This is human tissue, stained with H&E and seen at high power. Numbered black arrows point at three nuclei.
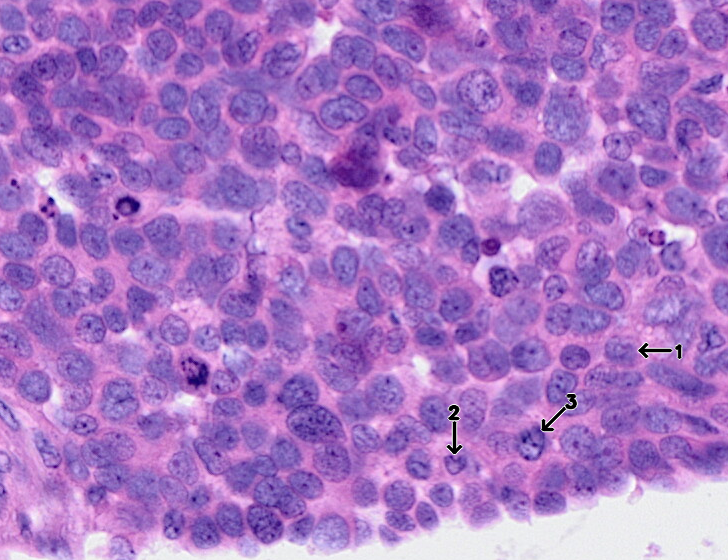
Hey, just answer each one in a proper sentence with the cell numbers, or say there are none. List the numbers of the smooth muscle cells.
All of the numbered cells are cells other than smooth muscle cells.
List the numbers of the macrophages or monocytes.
The cells referred to by numbers 2 and 3 are macrophages or monocytes.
